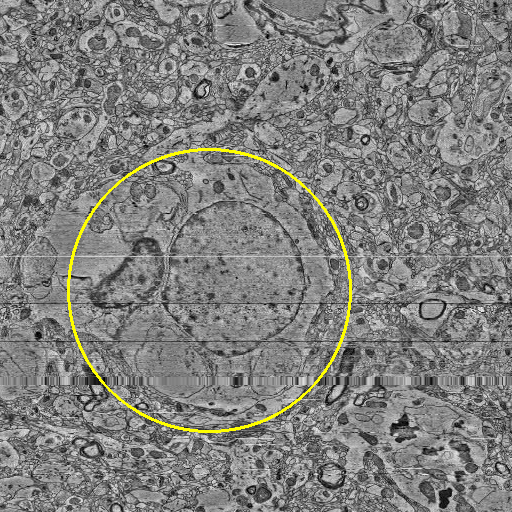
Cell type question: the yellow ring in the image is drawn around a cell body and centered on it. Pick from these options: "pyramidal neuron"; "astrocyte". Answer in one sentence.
The ringed cell at the center is an astrocyte.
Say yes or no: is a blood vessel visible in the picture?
Yes.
